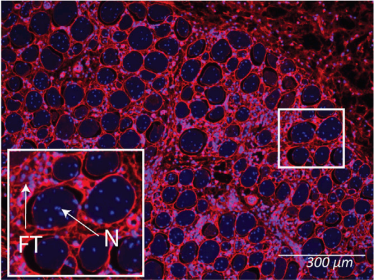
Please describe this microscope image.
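A cross-section of muscle shows rounded muscle fibers of varied size, many of them smaller, set apart by broad, irregular red-stained fibrotic tissue. The red tissue between the fibers is wide and patchy and contains many scattered blue nuclei, especially across the right half of the field. Small blue nuclei are also seen over the dark fibers.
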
